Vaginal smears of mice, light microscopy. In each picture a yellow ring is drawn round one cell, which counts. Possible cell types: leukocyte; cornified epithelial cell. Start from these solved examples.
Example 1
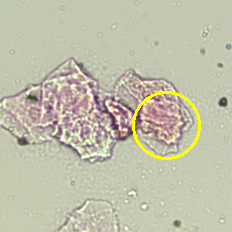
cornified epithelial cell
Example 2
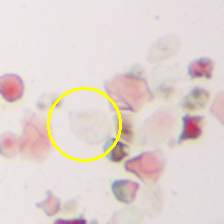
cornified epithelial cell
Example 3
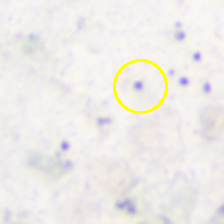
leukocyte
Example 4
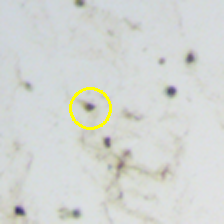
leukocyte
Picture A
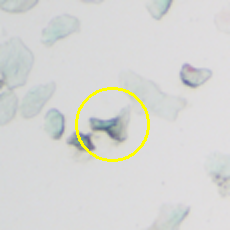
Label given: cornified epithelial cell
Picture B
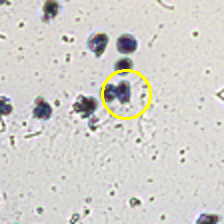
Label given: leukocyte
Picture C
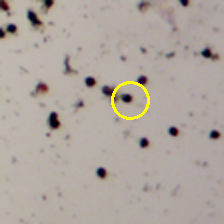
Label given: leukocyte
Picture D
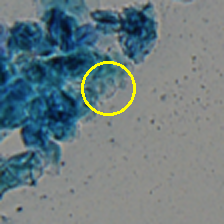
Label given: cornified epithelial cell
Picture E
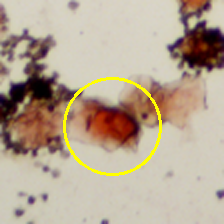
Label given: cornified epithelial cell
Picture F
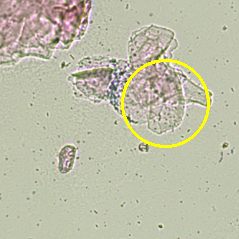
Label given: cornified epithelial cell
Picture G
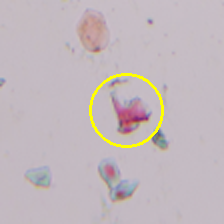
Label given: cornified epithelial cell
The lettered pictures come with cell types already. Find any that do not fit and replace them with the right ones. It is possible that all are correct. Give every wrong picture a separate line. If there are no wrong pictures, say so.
Nothing to fix; every label fits.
